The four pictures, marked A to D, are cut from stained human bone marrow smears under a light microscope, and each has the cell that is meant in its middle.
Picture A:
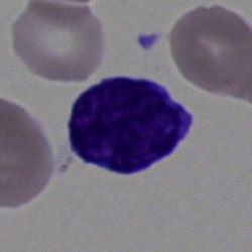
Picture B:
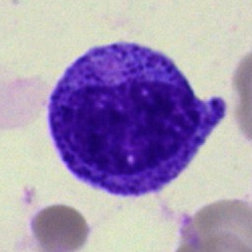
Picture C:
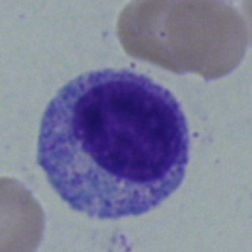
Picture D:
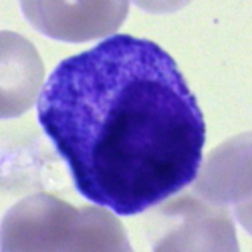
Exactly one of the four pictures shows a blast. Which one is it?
A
